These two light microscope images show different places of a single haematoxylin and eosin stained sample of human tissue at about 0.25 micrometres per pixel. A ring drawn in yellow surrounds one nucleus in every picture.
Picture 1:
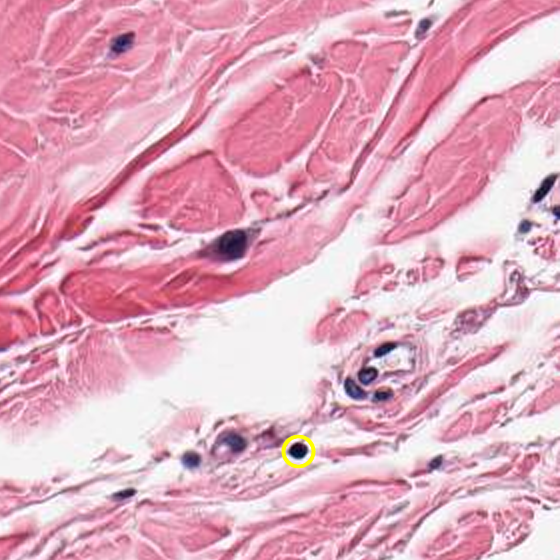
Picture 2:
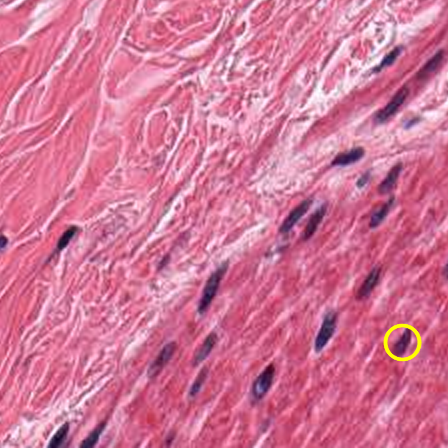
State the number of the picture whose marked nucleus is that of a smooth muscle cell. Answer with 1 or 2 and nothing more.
2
